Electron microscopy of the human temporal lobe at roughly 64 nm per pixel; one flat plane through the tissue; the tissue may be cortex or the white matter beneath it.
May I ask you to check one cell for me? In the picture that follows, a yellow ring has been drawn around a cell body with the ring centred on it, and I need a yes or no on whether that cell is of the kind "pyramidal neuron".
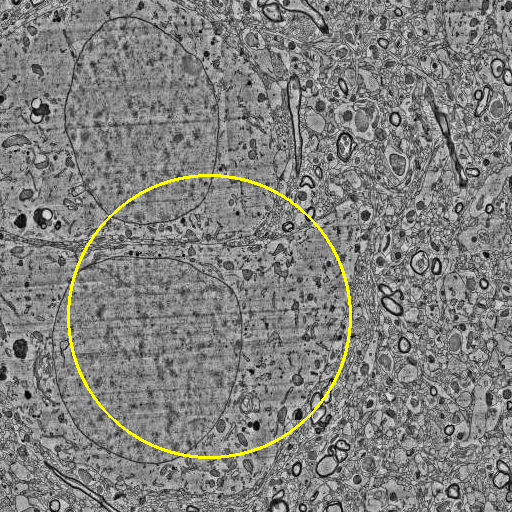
Yes, it is that kind of cell.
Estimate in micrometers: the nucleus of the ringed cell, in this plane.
In this plane, the nucleus measures approximately 13 micrometres across.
